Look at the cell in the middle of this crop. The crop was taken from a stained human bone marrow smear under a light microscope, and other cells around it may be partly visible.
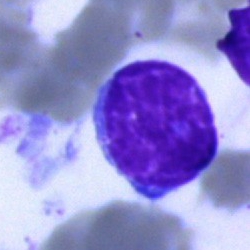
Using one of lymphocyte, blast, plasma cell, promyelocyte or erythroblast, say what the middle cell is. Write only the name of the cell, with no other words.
lymphocyte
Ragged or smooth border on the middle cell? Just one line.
You can see a smooth boundary, with no projections sticking out.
